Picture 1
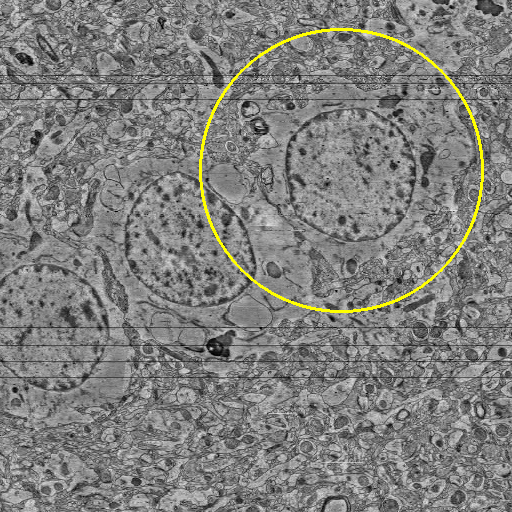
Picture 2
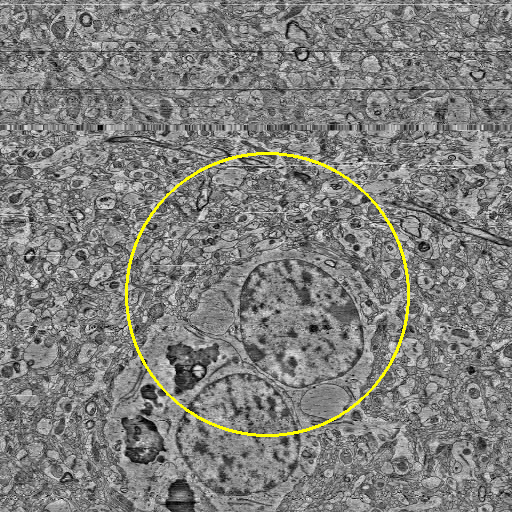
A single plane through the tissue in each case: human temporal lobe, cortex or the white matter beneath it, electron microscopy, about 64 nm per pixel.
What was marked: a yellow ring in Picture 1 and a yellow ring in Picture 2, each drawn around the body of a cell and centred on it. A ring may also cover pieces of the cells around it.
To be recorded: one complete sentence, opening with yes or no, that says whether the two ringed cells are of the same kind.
Yes, the two ringed cells are of the same kind.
